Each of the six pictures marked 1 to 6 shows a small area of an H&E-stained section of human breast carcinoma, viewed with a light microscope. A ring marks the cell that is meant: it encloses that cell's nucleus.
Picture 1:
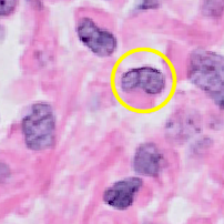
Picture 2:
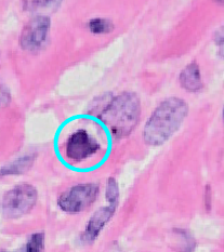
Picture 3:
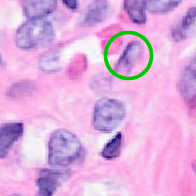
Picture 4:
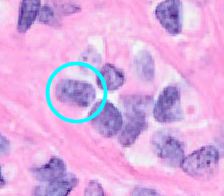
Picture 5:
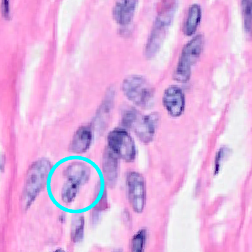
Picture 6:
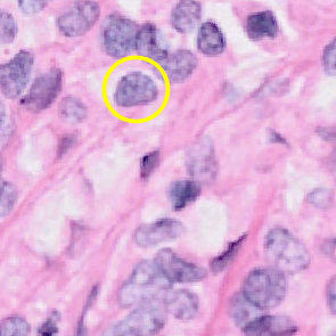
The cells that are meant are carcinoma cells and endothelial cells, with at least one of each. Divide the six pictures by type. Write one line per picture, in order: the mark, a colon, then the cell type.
1: carcinoma cell
2: carcinoma cell
3: endothelial cell
4: carcinoma cell
5: endothelial cell
6: carcinoma cell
